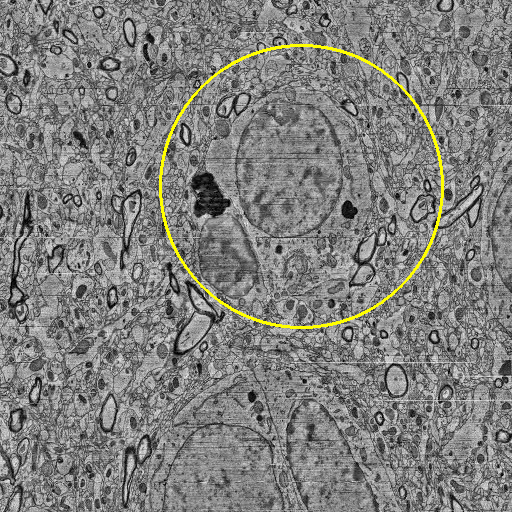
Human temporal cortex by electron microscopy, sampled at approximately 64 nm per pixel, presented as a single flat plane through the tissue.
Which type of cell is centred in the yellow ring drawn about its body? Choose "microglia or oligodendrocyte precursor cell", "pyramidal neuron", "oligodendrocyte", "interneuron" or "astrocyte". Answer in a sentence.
The yellow ring surrounds the cell body of an interneuron.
